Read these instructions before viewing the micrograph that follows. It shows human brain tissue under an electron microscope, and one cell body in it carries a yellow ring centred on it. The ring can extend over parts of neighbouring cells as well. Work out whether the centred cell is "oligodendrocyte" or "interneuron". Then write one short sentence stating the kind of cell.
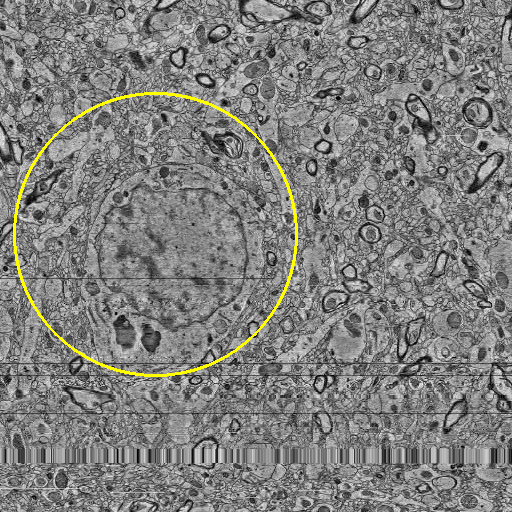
The ringed cell is an interneuron.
